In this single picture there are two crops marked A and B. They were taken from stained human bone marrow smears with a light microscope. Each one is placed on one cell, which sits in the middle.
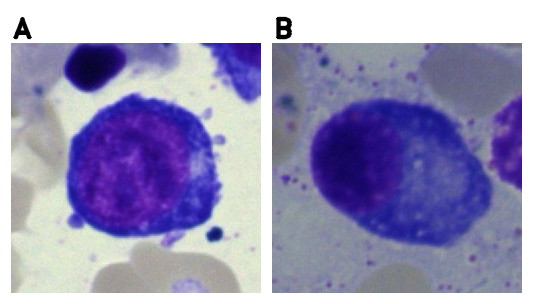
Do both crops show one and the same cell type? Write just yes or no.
no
